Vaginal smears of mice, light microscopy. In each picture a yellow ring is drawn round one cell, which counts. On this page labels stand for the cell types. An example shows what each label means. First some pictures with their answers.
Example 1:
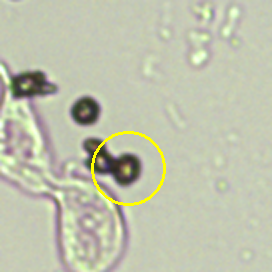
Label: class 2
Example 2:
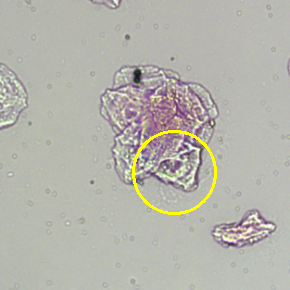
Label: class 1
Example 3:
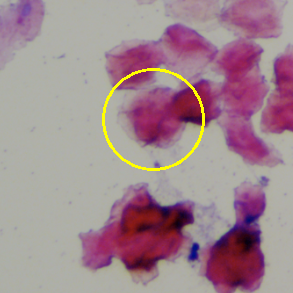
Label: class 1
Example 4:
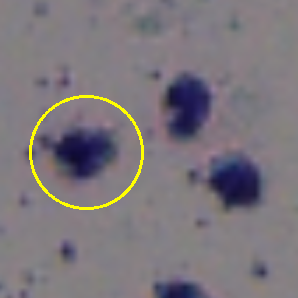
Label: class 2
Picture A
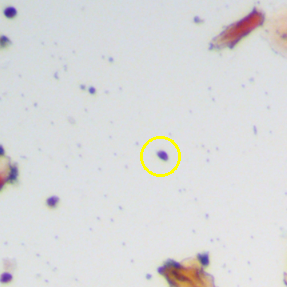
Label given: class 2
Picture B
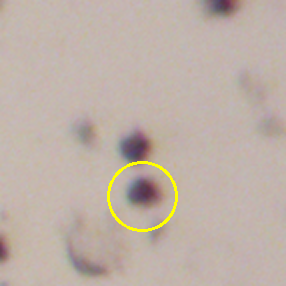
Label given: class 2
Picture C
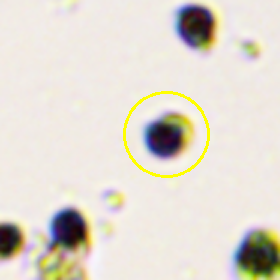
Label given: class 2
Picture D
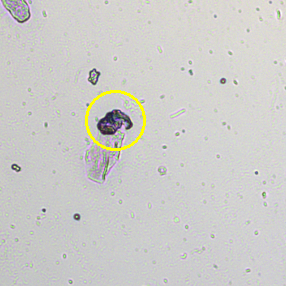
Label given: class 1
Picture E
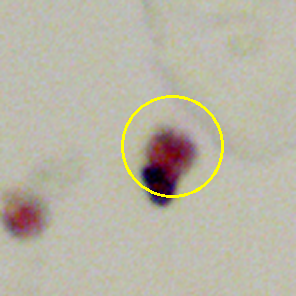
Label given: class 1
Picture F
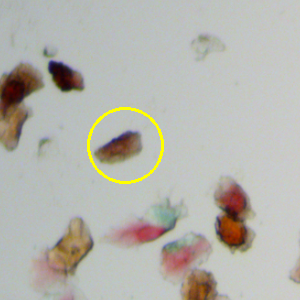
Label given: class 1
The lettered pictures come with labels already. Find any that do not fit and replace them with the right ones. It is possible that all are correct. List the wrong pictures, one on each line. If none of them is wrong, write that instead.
E is labelled class 1; correct label: class 2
